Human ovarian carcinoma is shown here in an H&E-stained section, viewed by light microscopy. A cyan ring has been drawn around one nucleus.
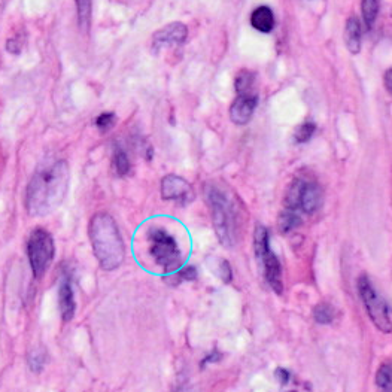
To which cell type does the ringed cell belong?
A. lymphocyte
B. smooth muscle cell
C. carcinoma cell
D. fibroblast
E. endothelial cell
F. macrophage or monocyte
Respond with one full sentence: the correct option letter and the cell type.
The correct choice is option A; the ringed cell is a lymphocyte.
